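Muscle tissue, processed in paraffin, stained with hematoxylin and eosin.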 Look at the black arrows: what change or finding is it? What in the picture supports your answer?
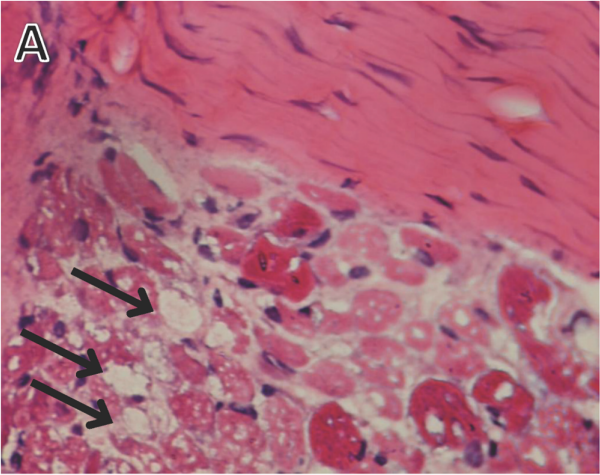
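Large empty intracytoplasmic vacuoles. The arrows point to pale, clear spaces inside muscle fibers. Many fibers in the lower left have a lacy, bubbly cytoplasm.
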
